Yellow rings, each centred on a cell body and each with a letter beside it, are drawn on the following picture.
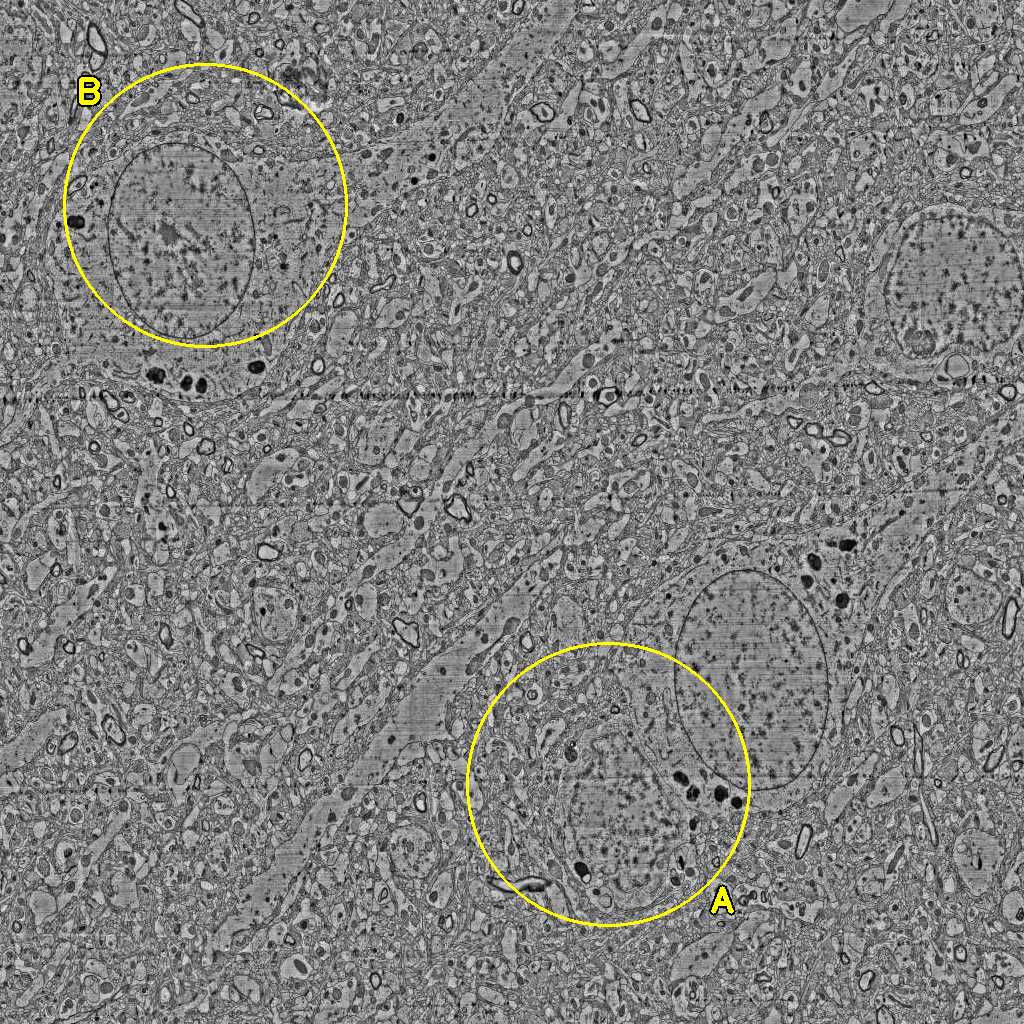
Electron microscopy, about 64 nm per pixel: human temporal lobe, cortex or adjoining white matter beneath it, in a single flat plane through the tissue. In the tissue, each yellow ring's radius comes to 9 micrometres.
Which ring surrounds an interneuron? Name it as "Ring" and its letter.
Ring A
